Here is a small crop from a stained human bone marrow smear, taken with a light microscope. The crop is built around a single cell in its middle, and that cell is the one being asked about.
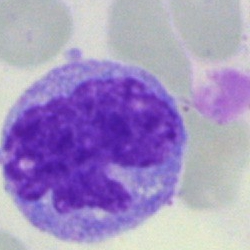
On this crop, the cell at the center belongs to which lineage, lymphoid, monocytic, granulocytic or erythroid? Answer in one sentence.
Placed within the monocytic lineage is the cell in the middle.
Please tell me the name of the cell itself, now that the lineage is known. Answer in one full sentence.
The cell nearest the centre of this crop is a monocyte.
